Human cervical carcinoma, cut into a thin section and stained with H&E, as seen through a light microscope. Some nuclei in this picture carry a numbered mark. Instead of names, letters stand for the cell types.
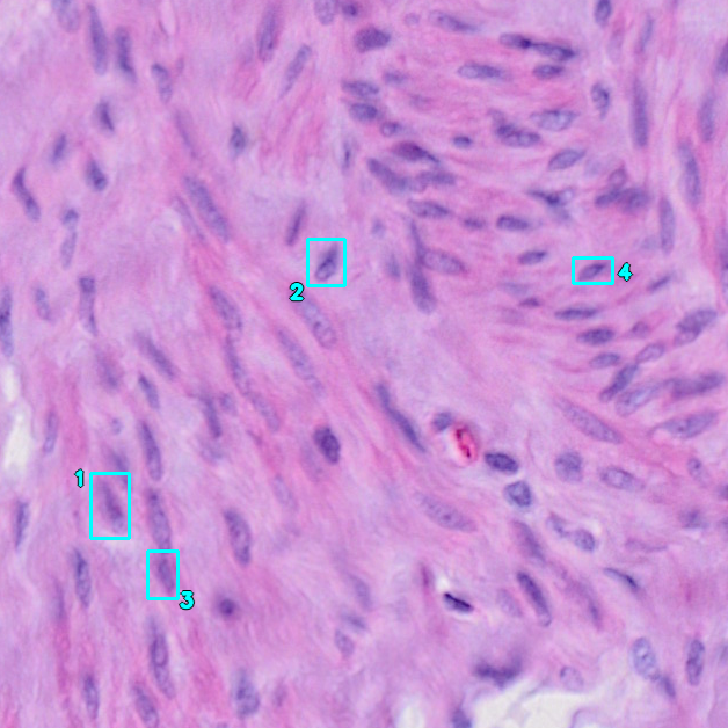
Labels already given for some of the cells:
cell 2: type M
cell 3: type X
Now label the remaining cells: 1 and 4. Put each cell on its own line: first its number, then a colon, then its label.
1: type X
4: type X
